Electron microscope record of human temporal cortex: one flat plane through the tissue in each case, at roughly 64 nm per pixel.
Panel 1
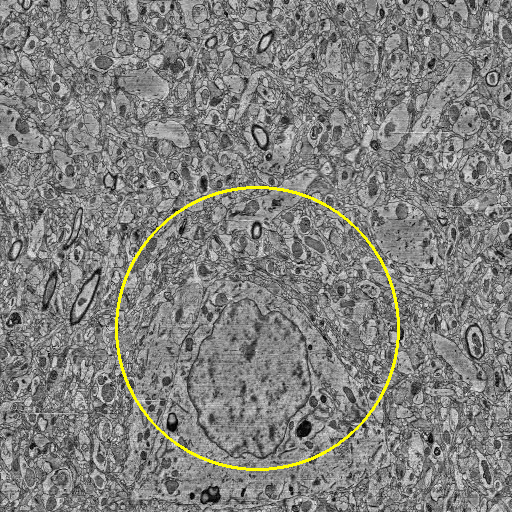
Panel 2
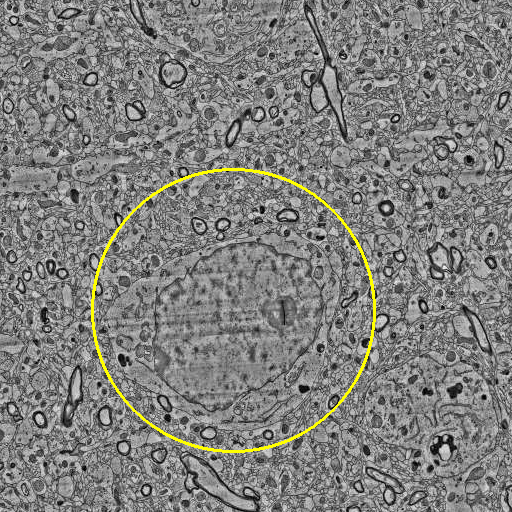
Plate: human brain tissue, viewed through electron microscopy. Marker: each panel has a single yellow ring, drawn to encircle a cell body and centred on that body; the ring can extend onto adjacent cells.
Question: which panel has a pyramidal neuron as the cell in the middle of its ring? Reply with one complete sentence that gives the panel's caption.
Panel 1 is where the requested cell sits at the centre of the ring.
